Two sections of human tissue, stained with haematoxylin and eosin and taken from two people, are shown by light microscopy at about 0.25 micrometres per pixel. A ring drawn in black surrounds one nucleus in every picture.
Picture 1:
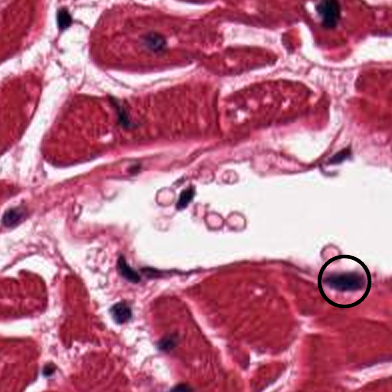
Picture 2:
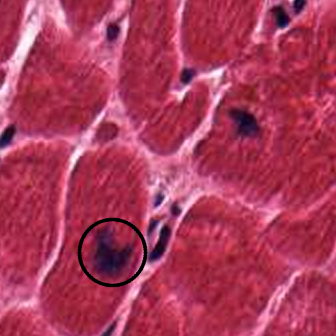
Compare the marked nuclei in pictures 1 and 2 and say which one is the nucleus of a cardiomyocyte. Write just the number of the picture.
2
